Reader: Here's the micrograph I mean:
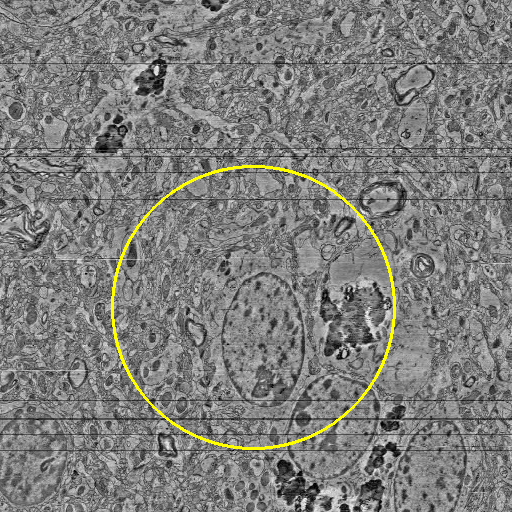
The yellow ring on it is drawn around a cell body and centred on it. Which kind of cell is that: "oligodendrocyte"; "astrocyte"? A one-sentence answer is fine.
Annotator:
The ring is centred on an astrocyte.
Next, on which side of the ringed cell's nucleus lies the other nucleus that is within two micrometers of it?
That nucleus lies to the lower right of it.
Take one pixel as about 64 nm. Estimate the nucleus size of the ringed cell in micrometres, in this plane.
Roughly 8 by 5 micrometres; in this plane, clearly longer than it is wide.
